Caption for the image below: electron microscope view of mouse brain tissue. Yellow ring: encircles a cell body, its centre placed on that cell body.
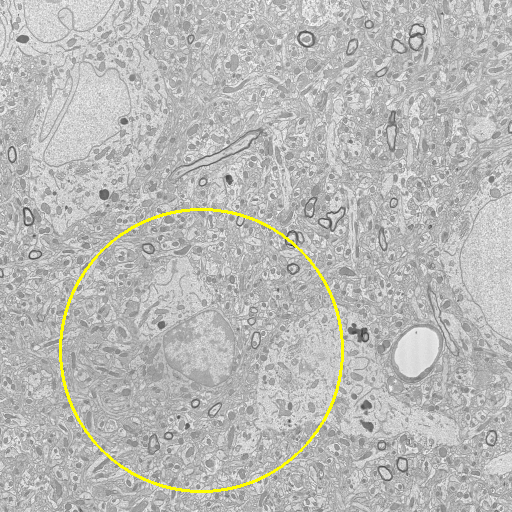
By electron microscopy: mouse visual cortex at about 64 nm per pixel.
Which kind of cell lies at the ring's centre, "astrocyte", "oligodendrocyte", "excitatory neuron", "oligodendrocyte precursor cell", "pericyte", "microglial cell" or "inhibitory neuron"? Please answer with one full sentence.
The picture shows an oligodendrocyte at the centre of the yellow ring.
